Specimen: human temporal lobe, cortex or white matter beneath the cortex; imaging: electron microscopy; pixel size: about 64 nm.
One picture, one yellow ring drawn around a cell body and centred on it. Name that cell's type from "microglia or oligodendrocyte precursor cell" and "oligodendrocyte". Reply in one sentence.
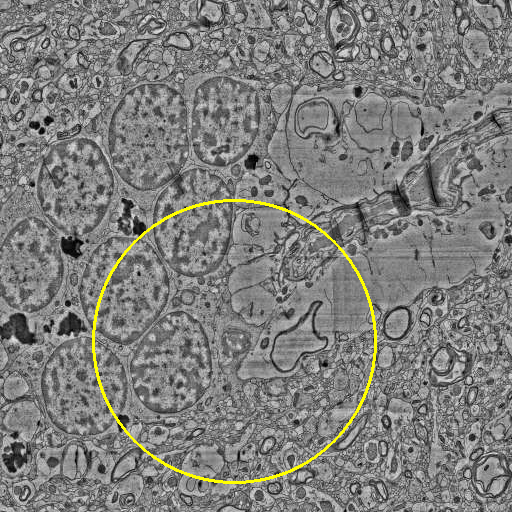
Centred in the ring is an oligodendrocyte.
